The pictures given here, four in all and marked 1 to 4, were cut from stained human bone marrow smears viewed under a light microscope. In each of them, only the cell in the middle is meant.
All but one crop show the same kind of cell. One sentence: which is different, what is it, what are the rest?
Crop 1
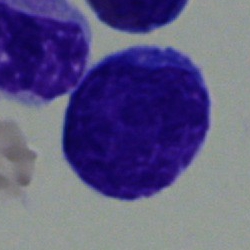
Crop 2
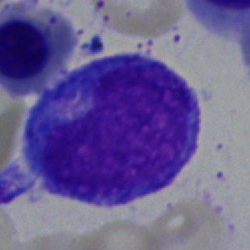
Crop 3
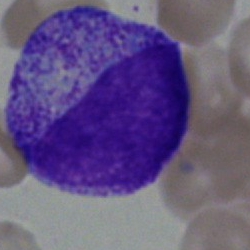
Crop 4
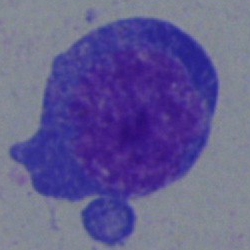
Excluding crop 3, which is a myelocyte, the crops all show blasts.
